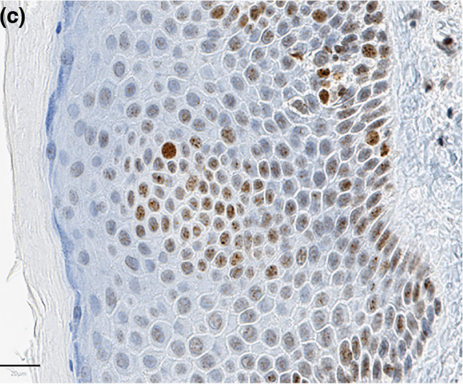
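The epidermis of skin is seen at high magnification, with a pale laminated cornified layer on the left and tightly packed polygonal cells with round to oval nuclei beneath it. Nuclei near the surface are flatter and mostly blue, while many nuclei in the deeper layers and along the lower right border are stained brown, some densely and granularly, others faintly. Fibrous connective tissue with scattered nuclei lies at the right edge.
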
